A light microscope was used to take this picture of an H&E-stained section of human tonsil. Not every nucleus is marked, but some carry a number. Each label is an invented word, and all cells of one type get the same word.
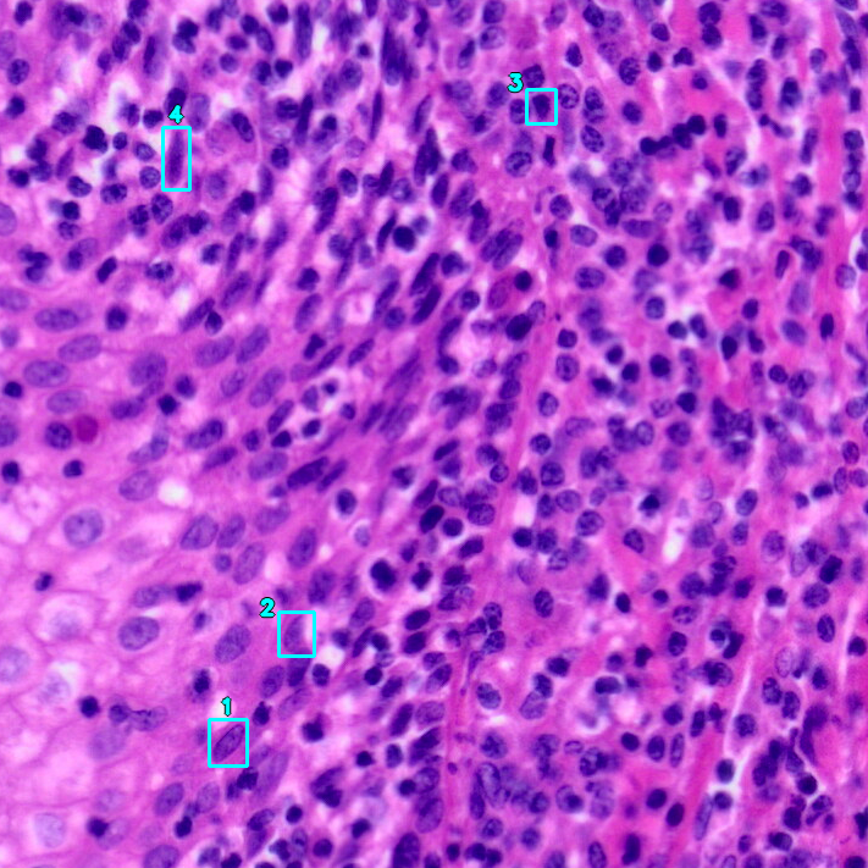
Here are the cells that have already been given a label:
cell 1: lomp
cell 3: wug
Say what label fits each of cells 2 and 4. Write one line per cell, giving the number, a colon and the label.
2: lomp
4: lomp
